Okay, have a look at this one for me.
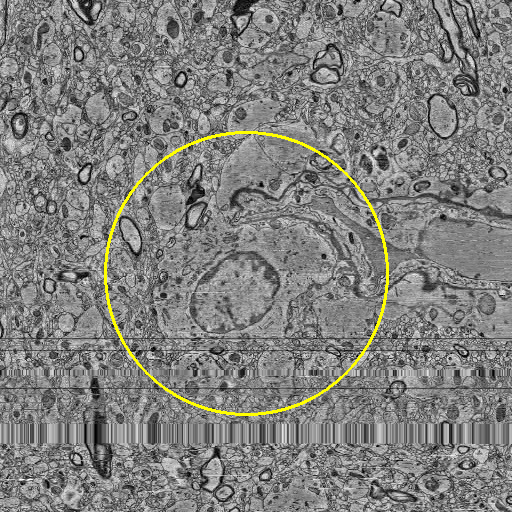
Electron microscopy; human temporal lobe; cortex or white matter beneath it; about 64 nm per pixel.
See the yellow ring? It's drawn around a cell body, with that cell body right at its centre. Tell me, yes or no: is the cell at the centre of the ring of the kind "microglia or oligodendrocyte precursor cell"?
Yes, it is of that kind.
